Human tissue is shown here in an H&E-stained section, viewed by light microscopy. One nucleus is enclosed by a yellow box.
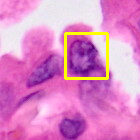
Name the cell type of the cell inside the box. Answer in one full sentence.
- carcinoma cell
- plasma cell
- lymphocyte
As to its cell type, the cell inside the box is a carcinoma cell.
